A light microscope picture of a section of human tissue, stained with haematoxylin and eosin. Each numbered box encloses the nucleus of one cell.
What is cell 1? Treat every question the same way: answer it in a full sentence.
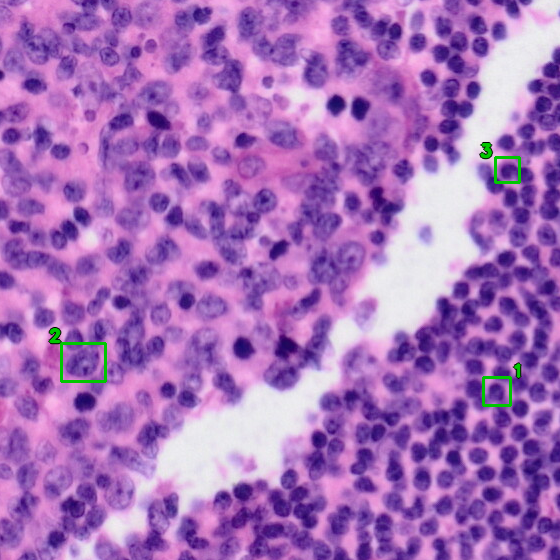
The cell referred to as 1 is a small lymphocyte.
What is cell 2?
Cell number 2 in this section is a proliferating B cell.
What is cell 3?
Among the marked cells, number 3 is a small lymphocyte.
